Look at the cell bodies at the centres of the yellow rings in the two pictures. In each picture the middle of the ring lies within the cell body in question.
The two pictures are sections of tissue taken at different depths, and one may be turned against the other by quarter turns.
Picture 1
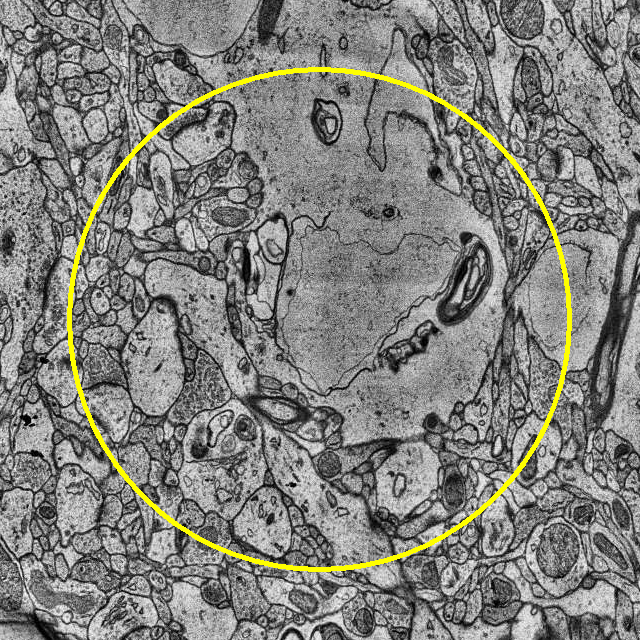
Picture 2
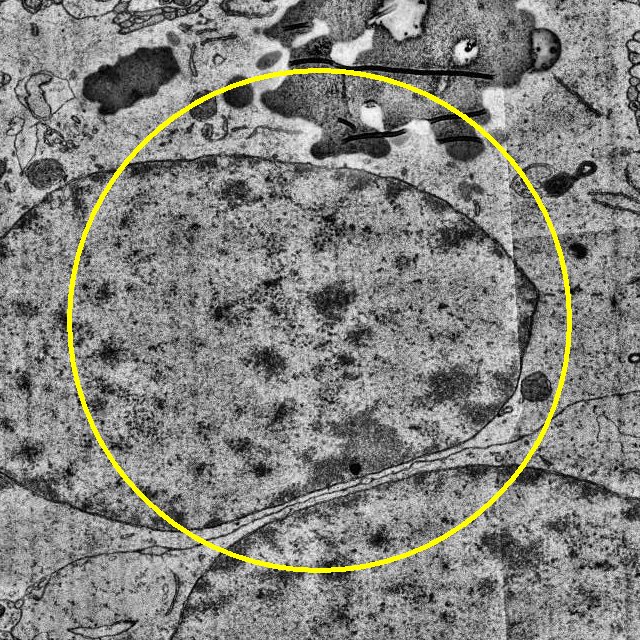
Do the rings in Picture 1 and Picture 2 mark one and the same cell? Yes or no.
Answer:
no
